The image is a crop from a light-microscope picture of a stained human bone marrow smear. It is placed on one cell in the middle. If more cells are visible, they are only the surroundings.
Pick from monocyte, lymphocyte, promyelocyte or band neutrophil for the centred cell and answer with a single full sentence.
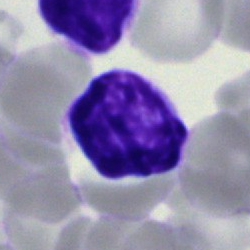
This crop is built around a lymphocyte at its centre.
